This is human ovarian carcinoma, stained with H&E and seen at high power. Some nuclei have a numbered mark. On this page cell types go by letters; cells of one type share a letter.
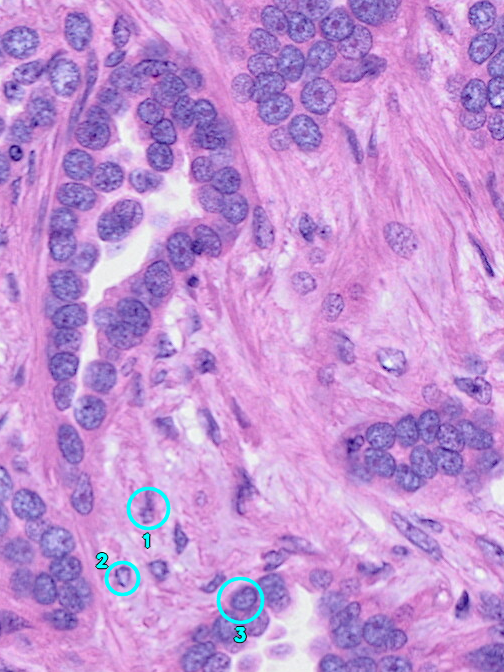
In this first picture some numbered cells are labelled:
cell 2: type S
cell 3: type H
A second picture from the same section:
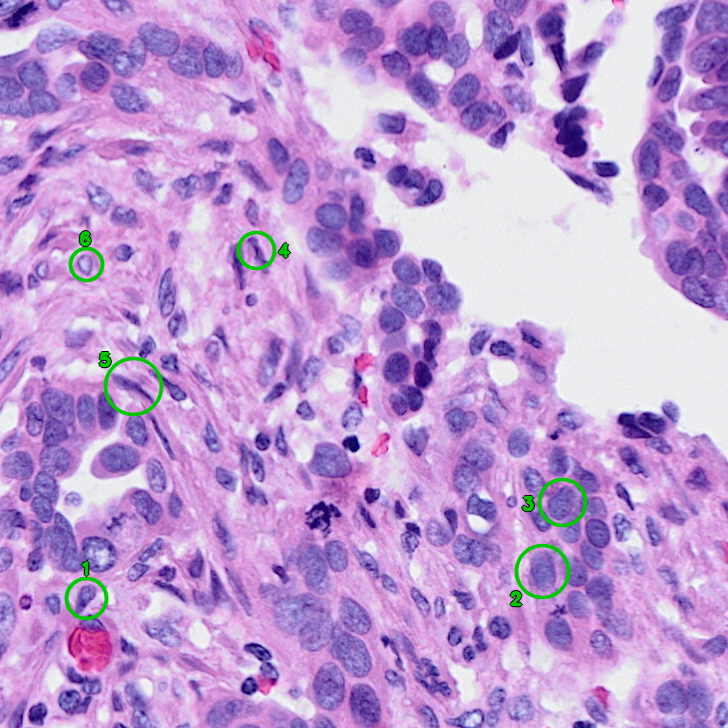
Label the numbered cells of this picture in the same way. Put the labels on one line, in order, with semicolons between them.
type S; type H; type H; type S; type S; type S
